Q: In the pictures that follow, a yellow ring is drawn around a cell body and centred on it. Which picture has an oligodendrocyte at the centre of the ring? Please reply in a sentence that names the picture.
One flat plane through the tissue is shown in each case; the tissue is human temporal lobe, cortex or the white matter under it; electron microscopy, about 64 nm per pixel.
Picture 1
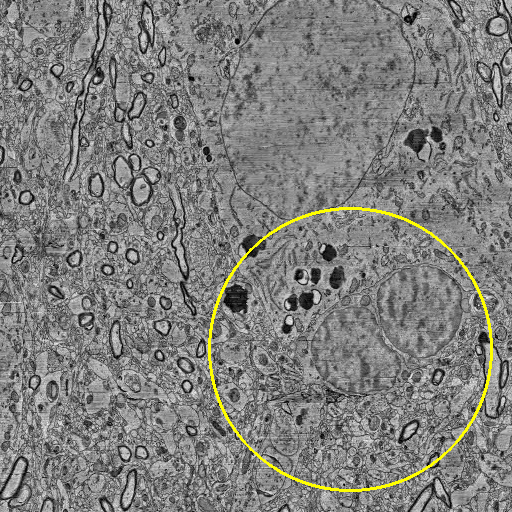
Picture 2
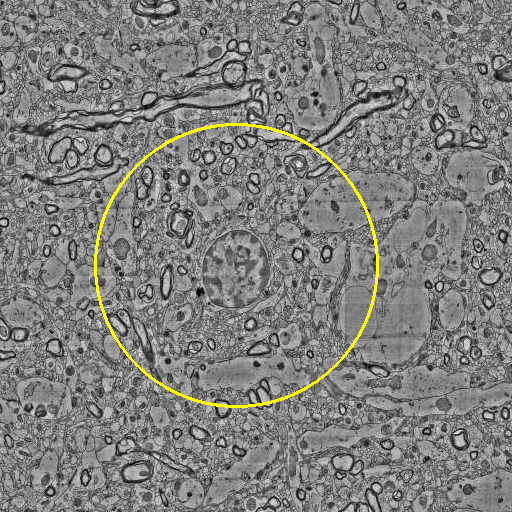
Picture 1 shows it at the centre of its ring.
